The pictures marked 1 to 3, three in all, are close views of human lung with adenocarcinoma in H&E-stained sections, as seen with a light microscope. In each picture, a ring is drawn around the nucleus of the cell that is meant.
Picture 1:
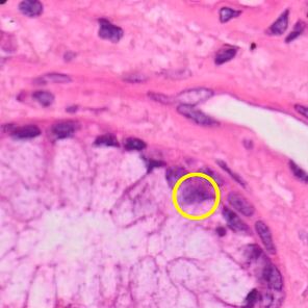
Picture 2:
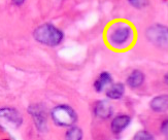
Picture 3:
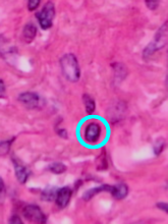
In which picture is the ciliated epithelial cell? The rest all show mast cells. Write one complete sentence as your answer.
The picture with the ciliated epithelial cell is 1.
